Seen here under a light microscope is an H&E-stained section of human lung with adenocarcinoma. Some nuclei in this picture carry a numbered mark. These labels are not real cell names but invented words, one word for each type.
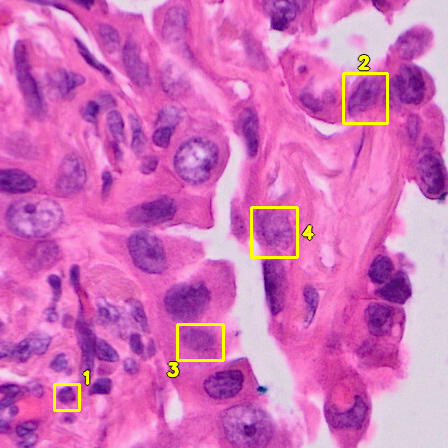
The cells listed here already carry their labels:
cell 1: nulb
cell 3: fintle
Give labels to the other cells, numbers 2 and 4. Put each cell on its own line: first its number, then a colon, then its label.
2: fintle
4: fintle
